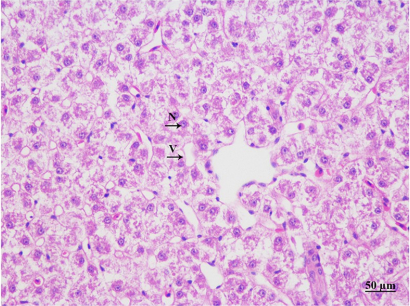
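This is liver tissue with hepatocytes arranged around a central vessel lumen, each with a round, purple-stained nucleus. The hepatocyte cytoplasm is pale and largely cleared, with many empty-looking vacuolated spaces, so the cells appear lighter and less uniformly pink than normal liver.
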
